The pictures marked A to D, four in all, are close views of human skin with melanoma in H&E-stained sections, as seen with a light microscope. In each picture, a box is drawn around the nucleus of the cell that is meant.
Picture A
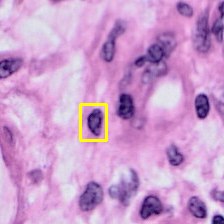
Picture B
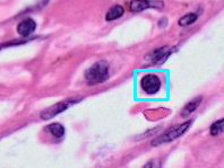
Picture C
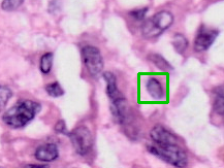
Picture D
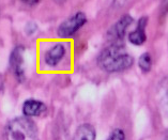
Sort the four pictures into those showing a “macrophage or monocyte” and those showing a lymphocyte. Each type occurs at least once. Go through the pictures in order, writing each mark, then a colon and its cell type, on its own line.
A: lymphocyte
B: lymphocyte
C: macrophage or monocyte
D: lymphocyte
